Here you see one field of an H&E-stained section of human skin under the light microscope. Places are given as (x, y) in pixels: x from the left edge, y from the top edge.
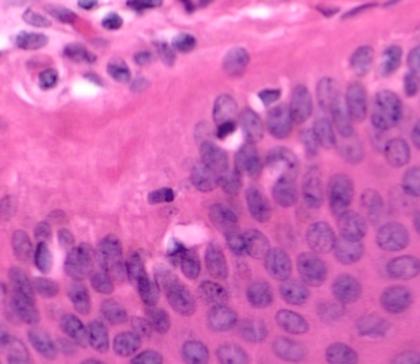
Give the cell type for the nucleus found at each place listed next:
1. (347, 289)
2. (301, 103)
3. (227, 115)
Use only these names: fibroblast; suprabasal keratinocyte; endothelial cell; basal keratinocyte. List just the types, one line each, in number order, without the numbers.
suprabasal keratinocyte
basal keratinocyte
basal keratinocyte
